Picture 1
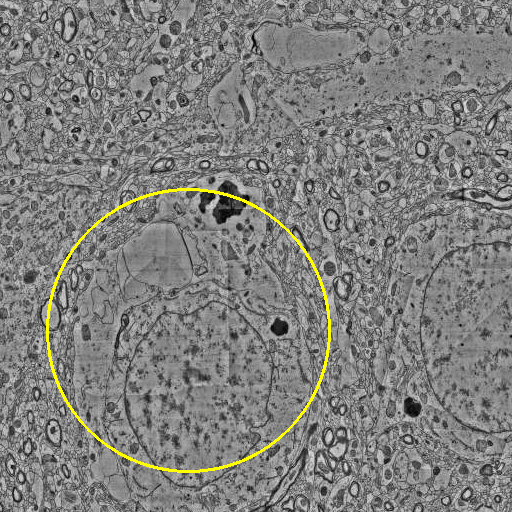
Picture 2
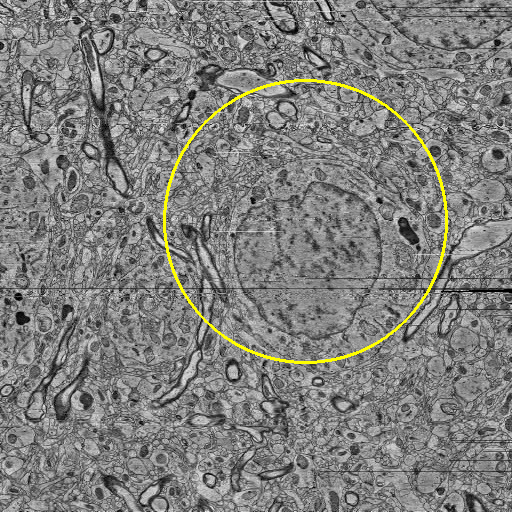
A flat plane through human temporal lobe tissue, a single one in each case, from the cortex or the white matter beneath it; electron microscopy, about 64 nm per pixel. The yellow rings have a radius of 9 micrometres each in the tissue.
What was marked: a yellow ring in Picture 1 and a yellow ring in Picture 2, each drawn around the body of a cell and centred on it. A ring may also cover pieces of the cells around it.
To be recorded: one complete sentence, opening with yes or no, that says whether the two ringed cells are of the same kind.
Yes, the two ringed cells are of the same kind.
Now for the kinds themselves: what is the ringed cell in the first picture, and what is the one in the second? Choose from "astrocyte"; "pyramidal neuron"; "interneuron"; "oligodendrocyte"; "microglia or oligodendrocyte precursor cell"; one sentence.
Each one of the two ringed cells is a pyramidal neuron.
